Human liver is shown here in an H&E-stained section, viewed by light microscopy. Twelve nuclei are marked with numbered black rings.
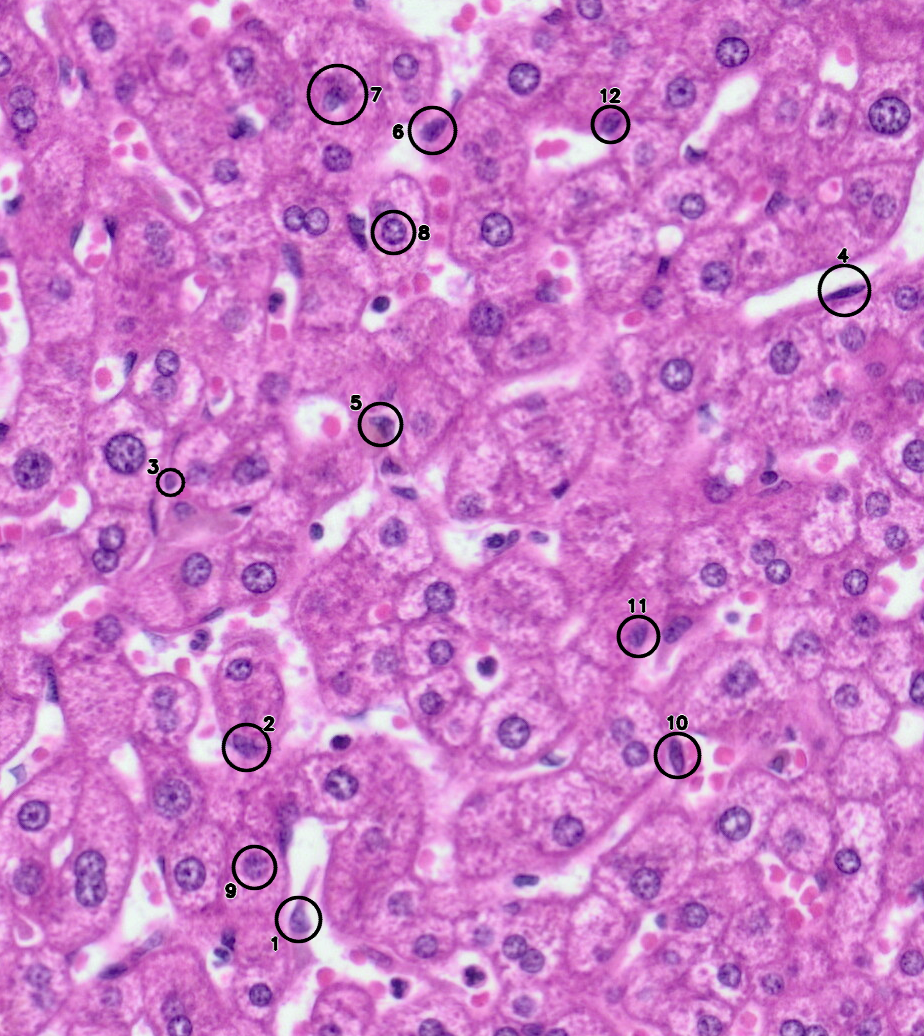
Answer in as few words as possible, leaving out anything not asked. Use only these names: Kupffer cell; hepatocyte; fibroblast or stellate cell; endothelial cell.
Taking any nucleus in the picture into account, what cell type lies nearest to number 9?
endothelial cell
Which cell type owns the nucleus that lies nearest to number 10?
hepatocyte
